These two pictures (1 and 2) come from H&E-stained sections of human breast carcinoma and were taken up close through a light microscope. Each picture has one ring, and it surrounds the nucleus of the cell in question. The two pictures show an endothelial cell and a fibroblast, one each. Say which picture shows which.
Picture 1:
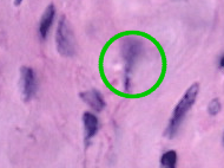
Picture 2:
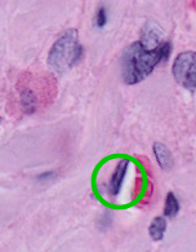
1: fibroblast
2: endothelial cell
